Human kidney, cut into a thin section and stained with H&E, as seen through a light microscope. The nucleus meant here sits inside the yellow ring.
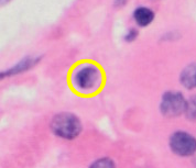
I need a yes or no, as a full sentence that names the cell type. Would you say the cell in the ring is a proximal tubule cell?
No, the cell in the ring isn't a proximal tubule cell; it is an endothelial cell.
